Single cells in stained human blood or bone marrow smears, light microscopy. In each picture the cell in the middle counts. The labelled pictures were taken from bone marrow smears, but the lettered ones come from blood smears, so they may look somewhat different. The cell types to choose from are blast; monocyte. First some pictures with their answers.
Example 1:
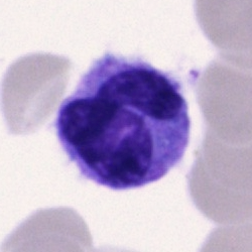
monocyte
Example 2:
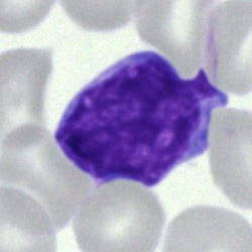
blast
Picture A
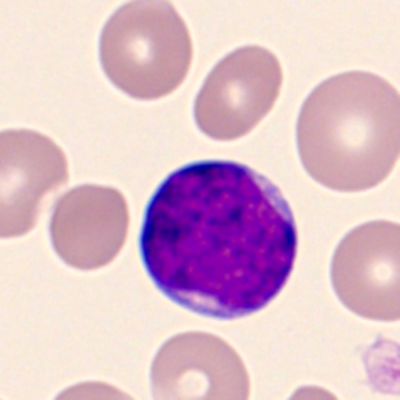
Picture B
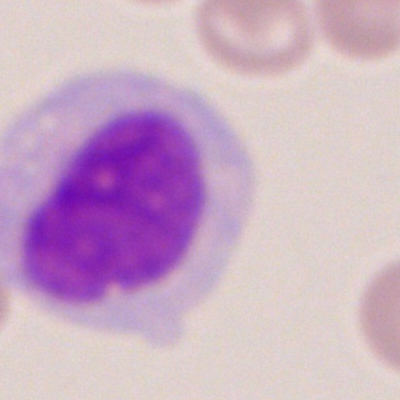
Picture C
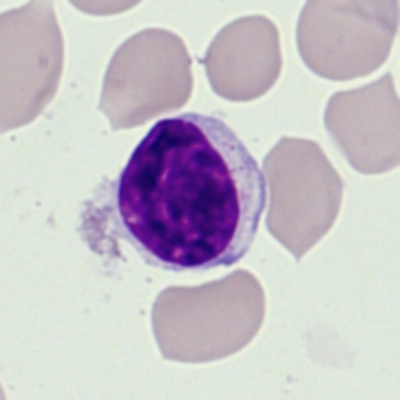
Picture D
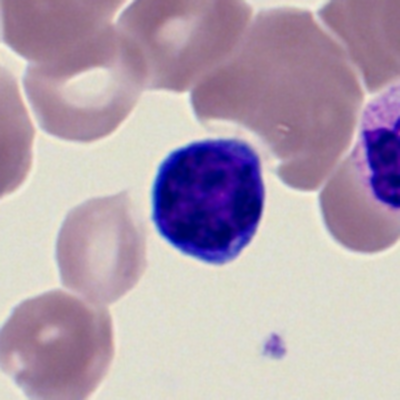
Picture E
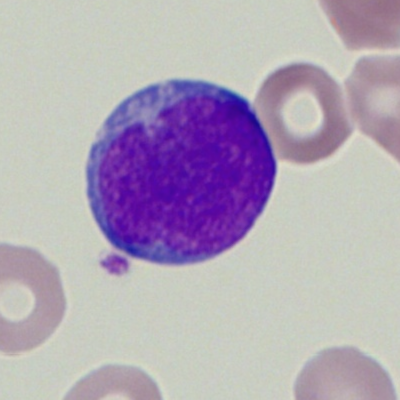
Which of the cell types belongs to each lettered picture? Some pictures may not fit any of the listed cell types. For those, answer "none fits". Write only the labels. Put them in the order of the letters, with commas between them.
blast, monocyte, none fits, none fits, blast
